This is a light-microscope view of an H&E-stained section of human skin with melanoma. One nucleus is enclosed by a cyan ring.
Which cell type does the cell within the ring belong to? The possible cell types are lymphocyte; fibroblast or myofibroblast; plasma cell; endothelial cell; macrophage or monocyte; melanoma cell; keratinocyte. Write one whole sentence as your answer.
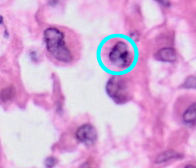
Considered by cell type, the cell within the ring is a macrophage or monocyte.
